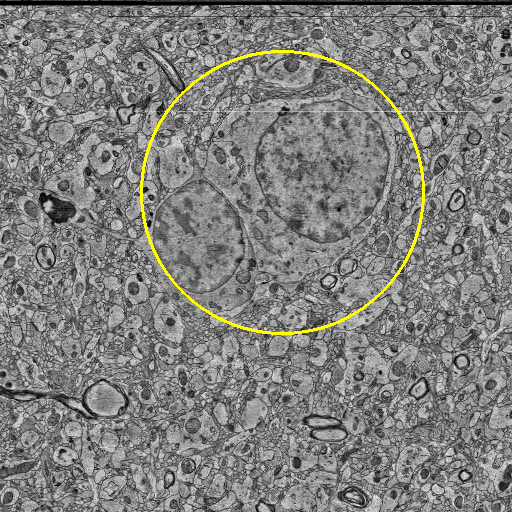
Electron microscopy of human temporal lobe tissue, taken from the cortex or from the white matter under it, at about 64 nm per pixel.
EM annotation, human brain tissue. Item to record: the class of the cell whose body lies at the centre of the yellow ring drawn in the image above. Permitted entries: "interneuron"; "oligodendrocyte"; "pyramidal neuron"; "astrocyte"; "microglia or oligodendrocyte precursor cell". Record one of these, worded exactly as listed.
interneuron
